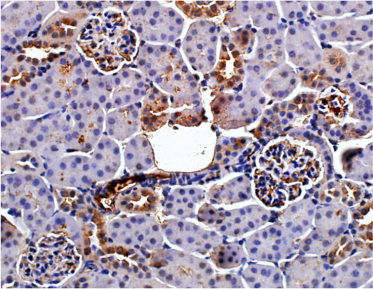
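This is a section of kidney cortex showing glomeruli among closely packed tubules. Several round glomerular tufts, each set in a clear space, contain densely clustered blue nuclei, and some show small brown deposits. The surrounding tubules are lined by cuboidal epithelial cells with round blue nuclei and pale cytoplasm. Many tubule cells, especially in groups of tubules, carry granular brown staining in their cytoplasm. A larger empty lumen near the center is bordered by brown-stained cells.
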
